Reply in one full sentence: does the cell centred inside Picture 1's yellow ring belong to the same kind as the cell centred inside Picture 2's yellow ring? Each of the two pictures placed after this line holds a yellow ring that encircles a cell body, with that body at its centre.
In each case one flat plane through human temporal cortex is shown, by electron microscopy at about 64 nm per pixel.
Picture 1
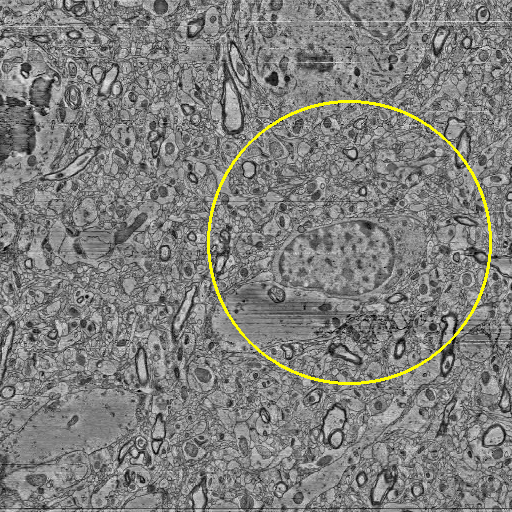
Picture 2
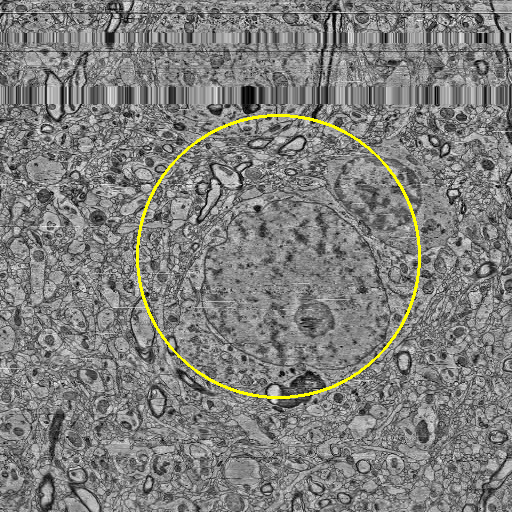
No, the ring-centred cells in Picture 1 and Picture 2 are of two separate kinds.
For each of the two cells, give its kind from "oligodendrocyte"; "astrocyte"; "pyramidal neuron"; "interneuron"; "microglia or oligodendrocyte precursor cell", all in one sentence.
The first picture has an oligodendrocyte in its ring, the second has a pyramidal neuron.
